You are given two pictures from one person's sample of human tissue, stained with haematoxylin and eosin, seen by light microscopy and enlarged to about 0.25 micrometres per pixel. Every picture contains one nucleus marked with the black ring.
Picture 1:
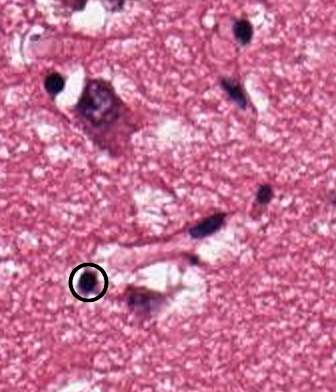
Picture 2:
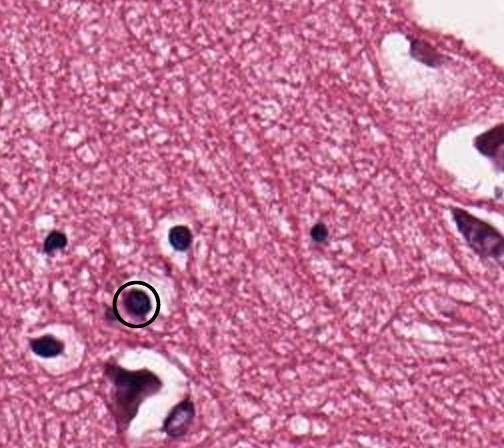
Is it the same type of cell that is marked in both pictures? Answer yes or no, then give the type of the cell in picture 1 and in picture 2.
Yes, both are oligodendrocytes.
